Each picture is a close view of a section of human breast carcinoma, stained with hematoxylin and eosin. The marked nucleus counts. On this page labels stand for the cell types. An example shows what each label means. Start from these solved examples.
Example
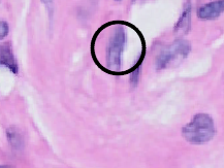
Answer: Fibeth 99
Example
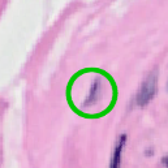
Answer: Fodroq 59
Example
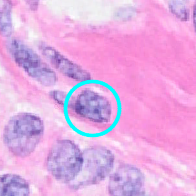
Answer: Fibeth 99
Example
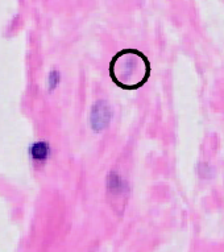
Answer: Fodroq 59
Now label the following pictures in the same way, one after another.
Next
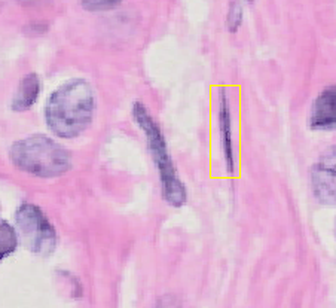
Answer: Fodroq 59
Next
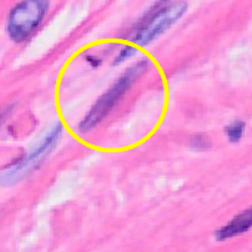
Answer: Fibeth 99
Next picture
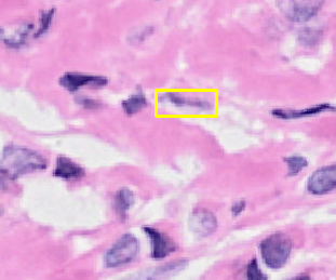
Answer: Fodroq 59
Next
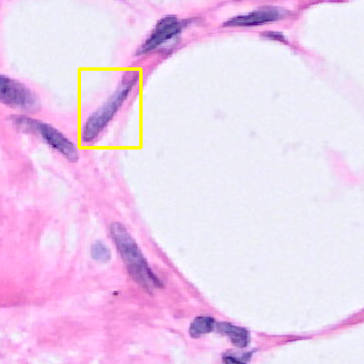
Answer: Fibeth 99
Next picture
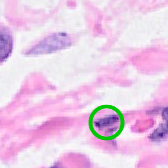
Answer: Fibeth 99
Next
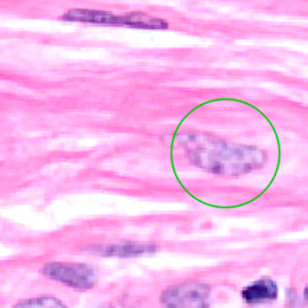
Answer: Fodroq 59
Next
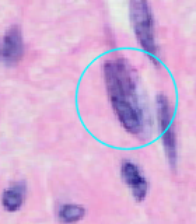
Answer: Fibeth 99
